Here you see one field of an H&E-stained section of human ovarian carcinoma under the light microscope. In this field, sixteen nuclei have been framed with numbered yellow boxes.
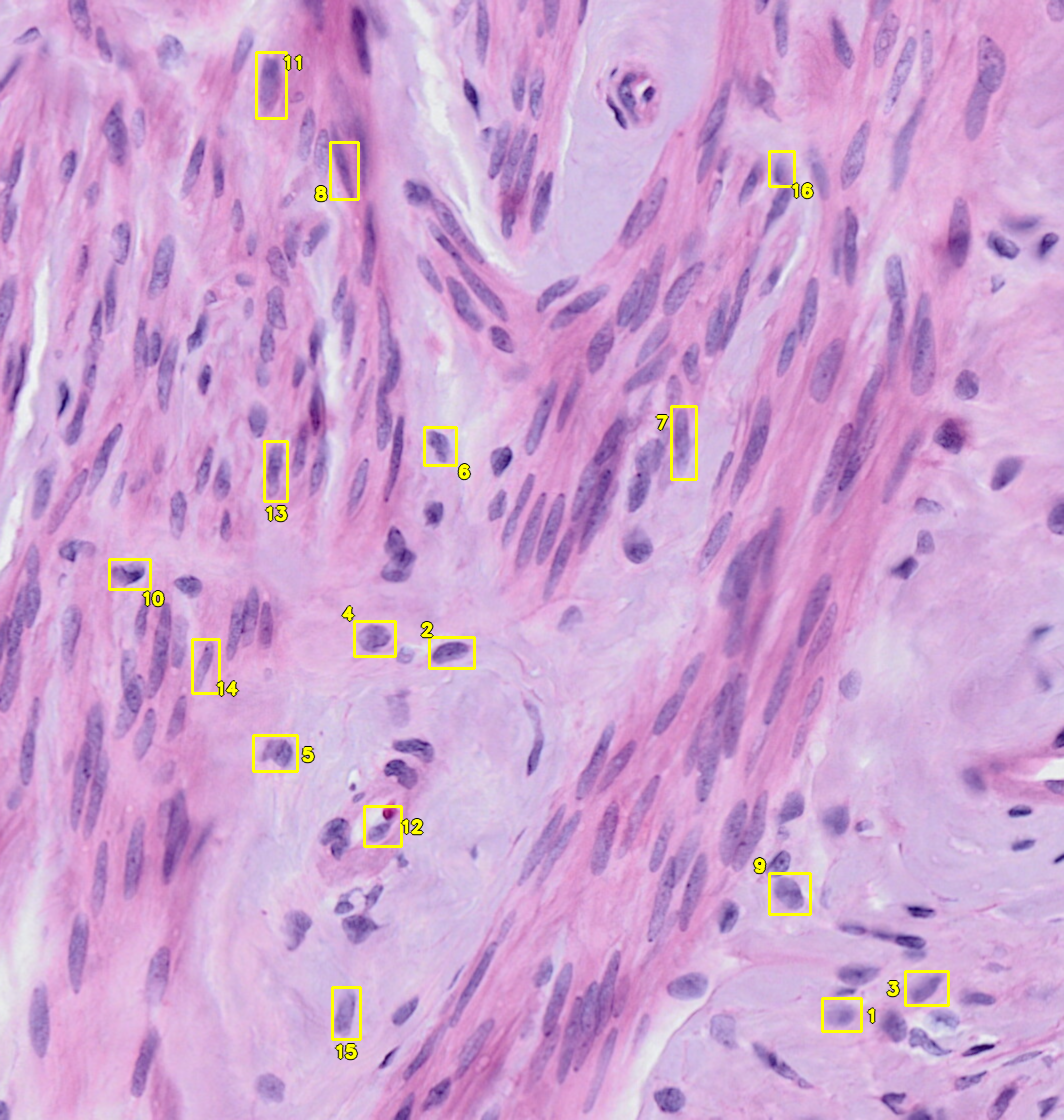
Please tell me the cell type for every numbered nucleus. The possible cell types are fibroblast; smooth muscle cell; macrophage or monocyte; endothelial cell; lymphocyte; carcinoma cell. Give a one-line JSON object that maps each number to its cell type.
{"1": "fibroblast", "2": "fibroblast", "3": "fibroblast", "4": "fibroblast", "5": "fibroblast", "6": "fibroblast", "7": "smooth muscle cell", "8": "smooth muscle cell", "9": "fibroblast", "10": "fibroblast", "11": "smooth muscle cell", "12": "endothelial cell", "13": "smooth muscle cell", "14": "smooth muscle cell", "15": "fibroblast", "16": "smooth muscle cell"}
